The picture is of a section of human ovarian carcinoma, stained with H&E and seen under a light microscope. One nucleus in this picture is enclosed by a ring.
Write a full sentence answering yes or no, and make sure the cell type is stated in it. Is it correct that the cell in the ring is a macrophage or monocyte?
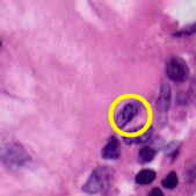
Yes, it is a macrophage or monocyte that the cell in the ring represents in this section.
